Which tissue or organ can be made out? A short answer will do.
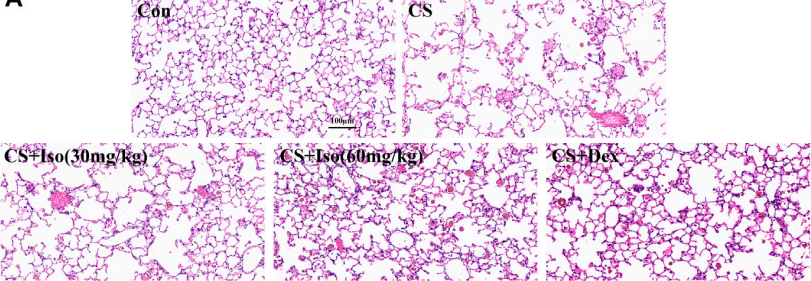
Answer: Lungs.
